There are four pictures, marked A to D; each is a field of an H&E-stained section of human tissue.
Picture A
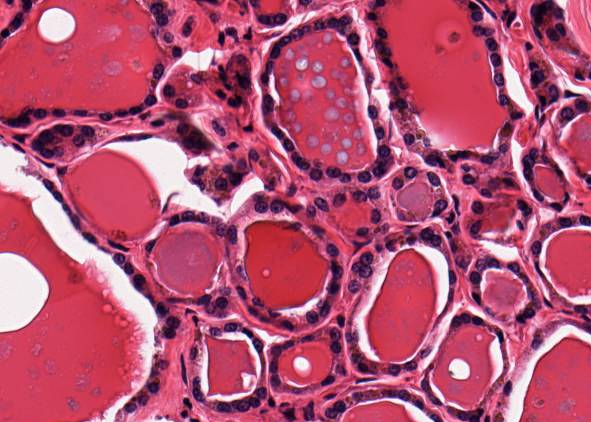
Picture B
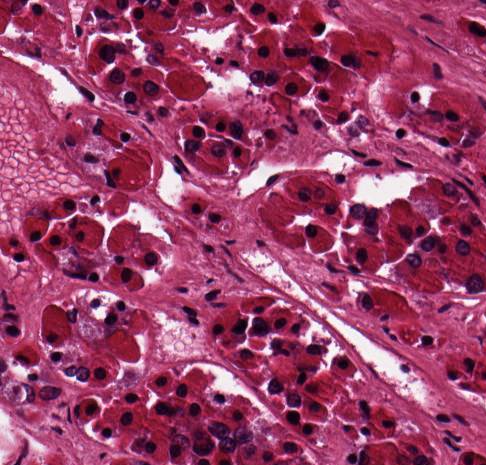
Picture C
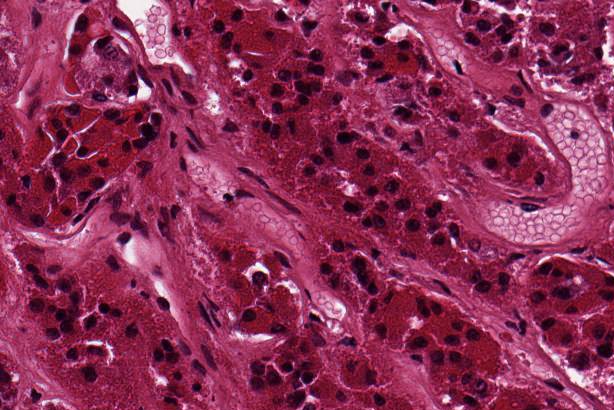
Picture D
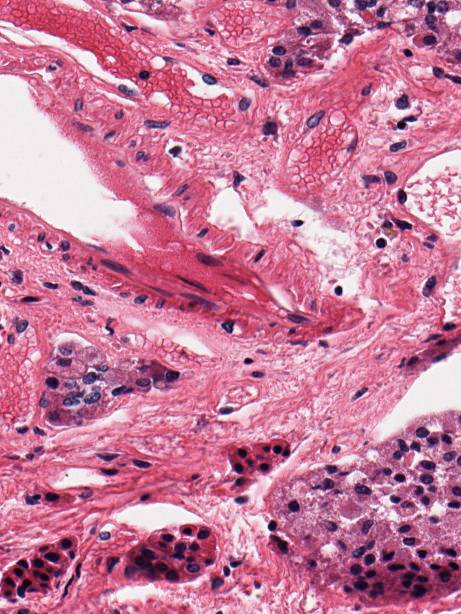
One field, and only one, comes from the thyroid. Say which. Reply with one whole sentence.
Picture A comes from the thyroid.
